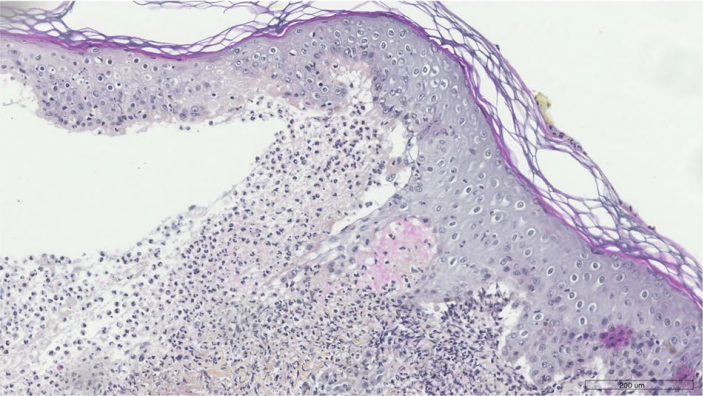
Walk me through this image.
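This is skin in which the epidermis has come away from the dermis beneath it, leaving a space under the epidermis. The epidermis is a layer of squamous cells with round nuclei and pale pink-grey cytoplasm, topped by a loose, basket-weave layer of keratin edged in bright pink. The space beneath holds loosely scattered cells and some pale material. Below, the dermis is crowded with many small dark nuclei of inflammatory cells. A small bright pink deposit sits at the lower edge of the epidermis.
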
